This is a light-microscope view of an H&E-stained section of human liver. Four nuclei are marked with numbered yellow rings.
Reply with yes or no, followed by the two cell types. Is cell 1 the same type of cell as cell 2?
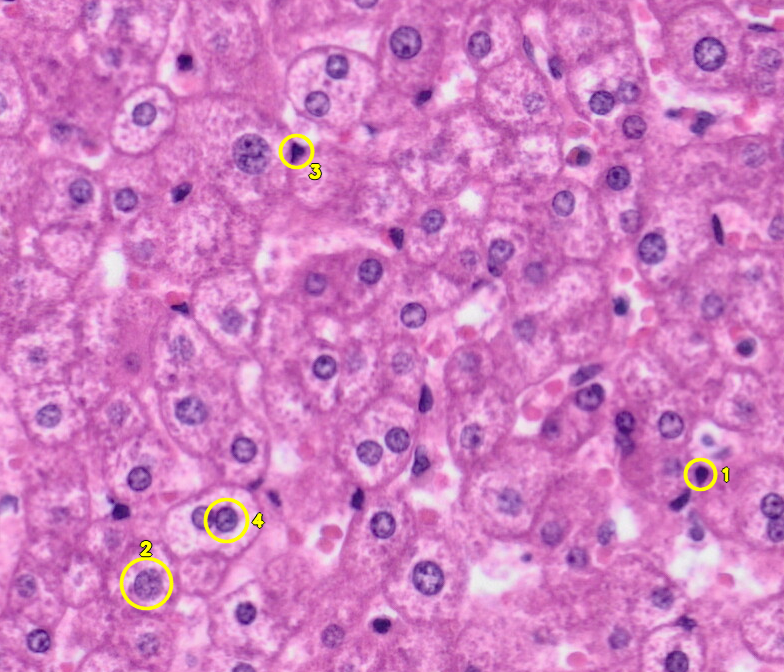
No, cell 1 is a fibroblast or stellate cell and cell 2 is a hepatocyte.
